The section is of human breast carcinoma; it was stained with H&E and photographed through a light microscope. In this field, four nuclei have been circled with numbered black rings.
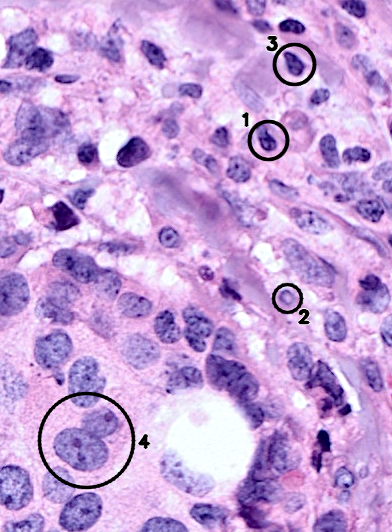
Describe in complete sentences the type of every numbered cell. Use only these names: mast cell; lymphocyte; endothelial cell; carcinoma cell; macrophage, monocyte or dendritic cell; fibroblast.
Cells 1 and 3 are lymphocytes. Cell 2 is a macrophage, monocyte or dendritic cell. Cell 4 is a carcinoma cell.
